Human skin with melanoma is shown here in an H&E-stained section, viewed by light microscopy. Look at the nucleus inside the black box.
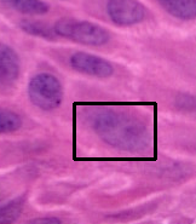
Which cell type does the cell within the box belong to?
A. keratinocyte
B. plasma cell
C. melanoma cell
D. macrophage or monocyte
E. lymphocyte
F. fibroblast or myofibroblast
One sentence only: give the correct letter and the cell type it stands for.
Option A is right in classifying the cell within the box as a keratinocyte.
